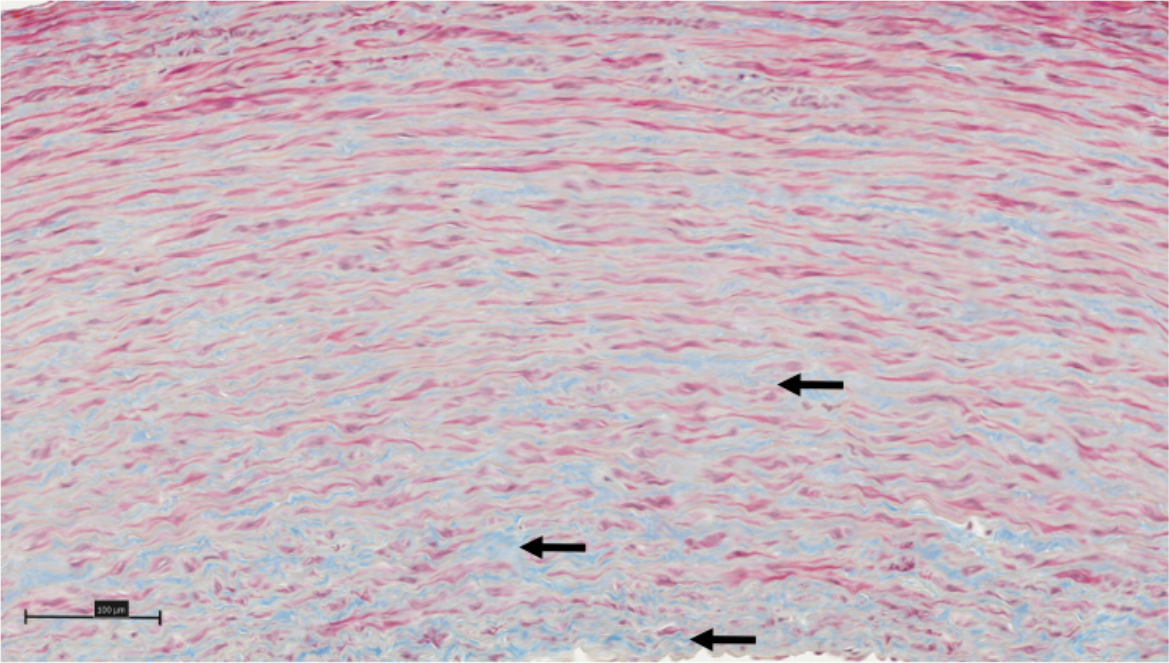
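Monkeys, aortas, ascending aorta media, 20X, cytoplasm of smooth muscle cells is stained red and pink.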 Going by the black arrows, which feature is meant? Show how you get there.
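The arrows point to pale blue fibrous bands. The blue bands run parallel to the red-pink elongated cells. So: Collagen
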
